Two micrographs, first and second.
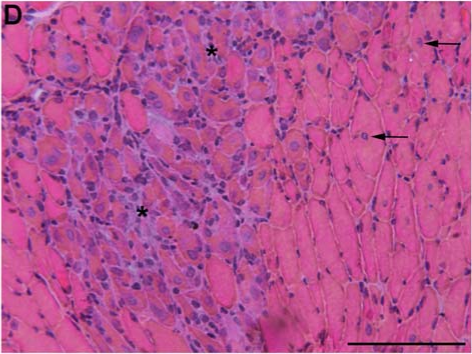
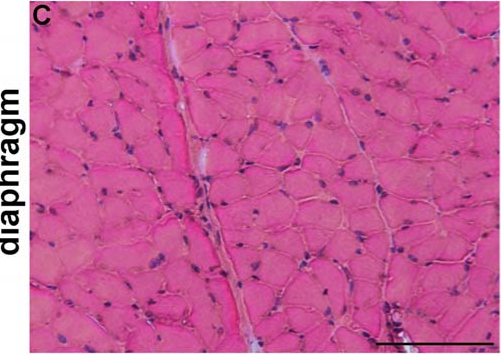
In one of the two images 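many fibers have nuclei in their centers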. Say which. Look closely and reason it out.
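First image: several fibers have a nucleus in the middle, and a region is packed with small dark cells. Second image: nuclei lie at fiber edges and fibers are evenly packed. On this evidence: the first image.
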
